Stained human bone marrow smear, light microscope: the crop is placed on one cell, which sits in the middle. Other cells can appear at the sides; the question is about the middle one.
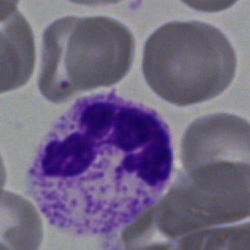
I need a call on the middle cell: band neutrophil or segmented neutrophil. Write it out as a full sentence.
Occupying the centre of the crop is a segmented neutrophil.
